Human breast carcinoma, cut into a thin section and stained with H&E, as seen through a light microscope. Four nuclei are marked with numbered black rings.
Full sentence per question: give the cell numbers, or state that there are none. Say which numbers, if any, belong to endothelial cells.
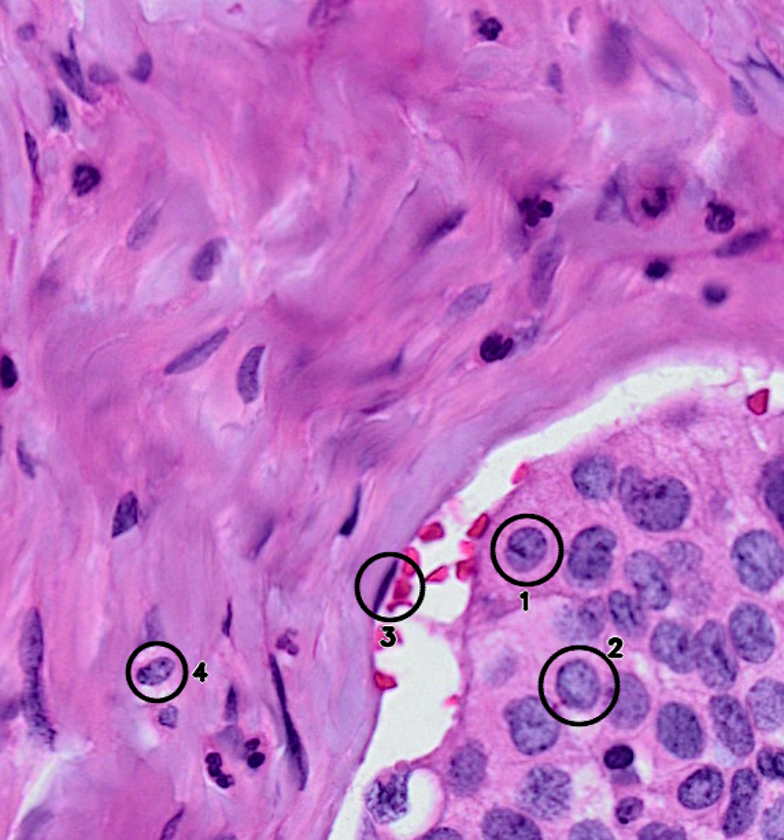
There is just one numbered cell that is an endothelial cell, and it is cell 3.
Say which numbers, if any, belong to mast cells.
Just one of the numbered cells is a mast cell, namely number 4.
